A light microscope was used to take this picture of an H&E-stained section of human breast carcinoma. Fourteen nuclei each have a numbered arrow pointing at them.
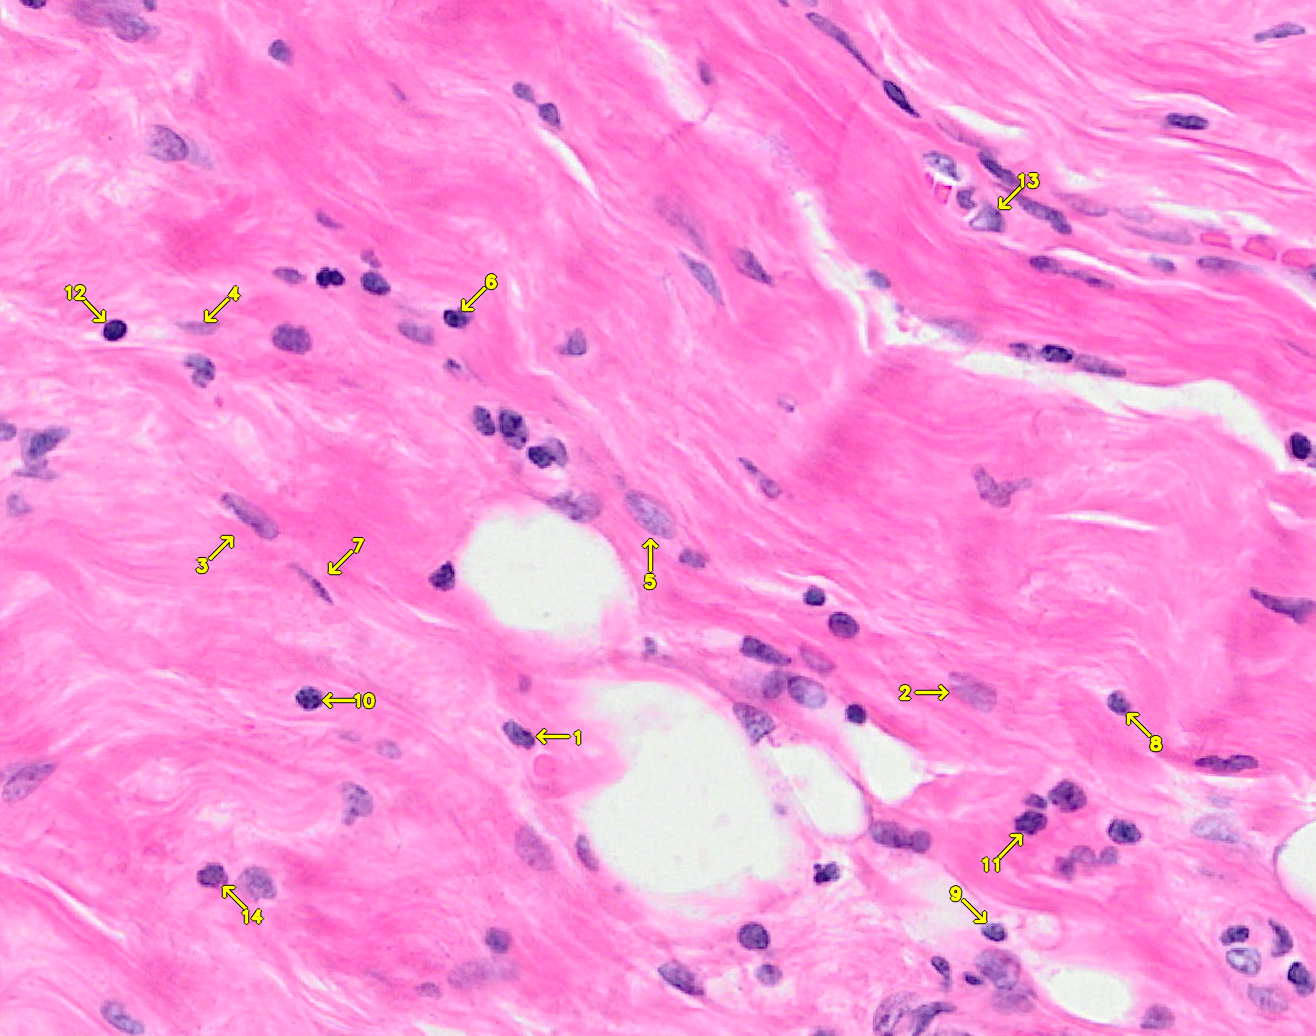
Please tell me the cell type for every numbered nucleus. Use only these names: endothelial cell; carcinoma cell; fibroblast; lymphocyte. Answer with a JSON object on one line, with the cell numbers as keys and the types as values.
{"1": "lymphocyte", "2": "fibroblast", "3": "fibroblast", "4": "fibroblast", "5": "fibroblast", "6": "lymphocyte", "7": "fibroblast", "8": "lymphocyte", "9": "lymphocyte", "10": "lymphocyte", "11": "lymphocyte", "12": "lymphocyte", "13": "endothelial cell", "14": "lymphocyte"}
